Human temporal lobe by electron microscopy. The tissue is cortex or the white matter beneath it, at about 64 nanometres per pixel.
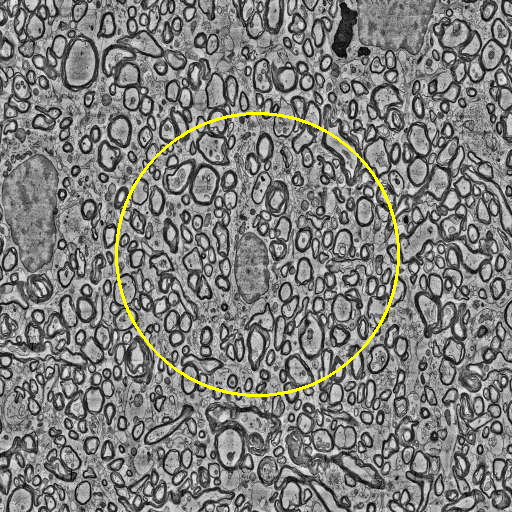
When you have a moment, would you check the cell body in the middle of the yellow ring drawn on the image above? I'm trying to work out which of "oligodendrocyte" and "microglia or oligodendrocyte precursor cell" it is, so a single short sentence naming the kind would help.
This cell body belongs to a microglial cell or oligodendrocyte precursor cell.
